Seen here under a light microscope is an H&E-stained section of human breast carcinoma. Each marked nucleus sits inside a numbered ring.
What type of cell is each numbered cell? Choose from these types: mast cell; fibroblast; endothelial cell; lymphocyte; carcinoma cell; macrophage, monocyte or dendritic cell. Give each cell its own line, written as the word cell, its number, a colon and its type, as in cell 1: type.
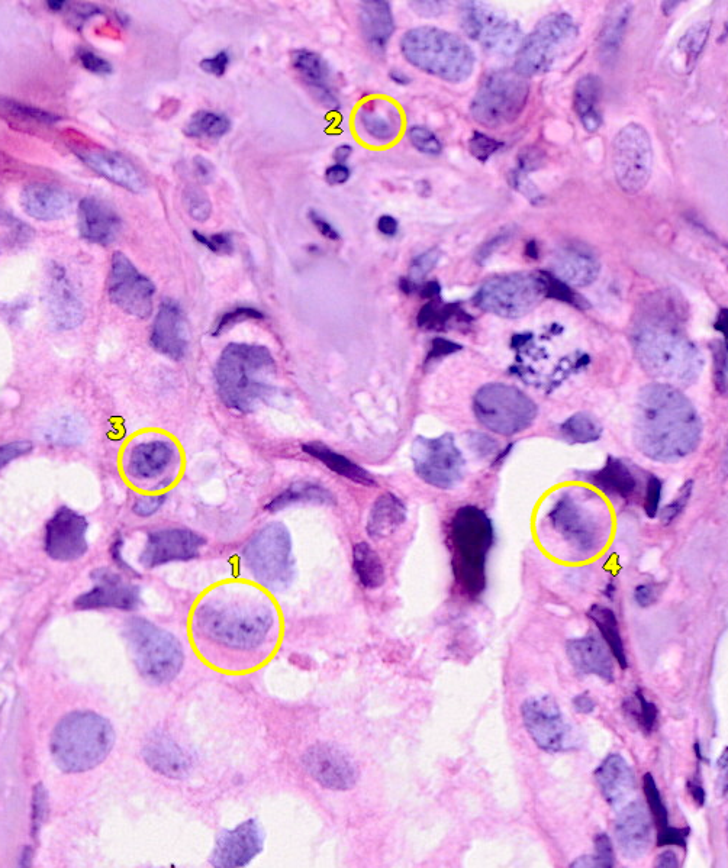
cell 1: carcinoma cell
cell 2: endothelial cell
cell 3: carcinoma cell
cell 4: carcinoma cell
